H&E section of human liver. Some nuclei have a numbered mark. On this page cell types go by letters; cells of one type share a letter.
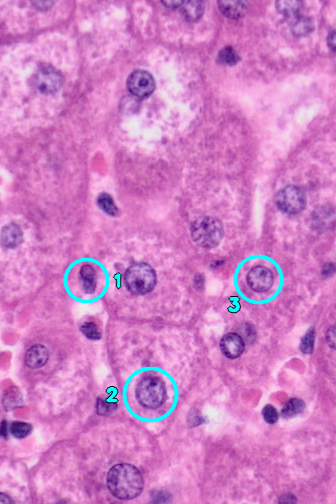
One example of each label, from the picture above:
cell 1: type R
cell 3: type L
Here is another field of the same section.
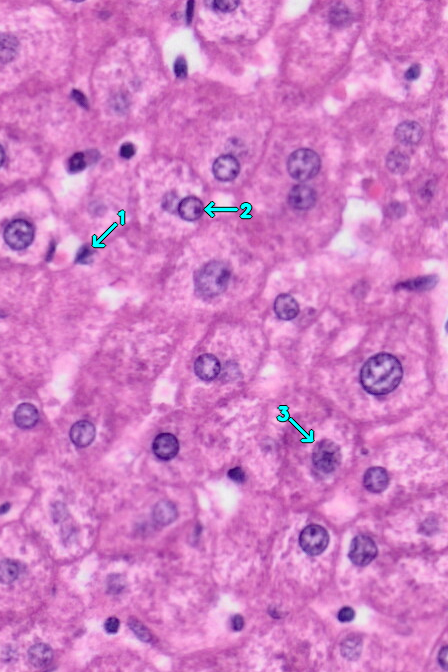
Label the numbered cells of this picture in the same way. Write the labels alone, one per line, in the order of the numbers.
type R
type L
type L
